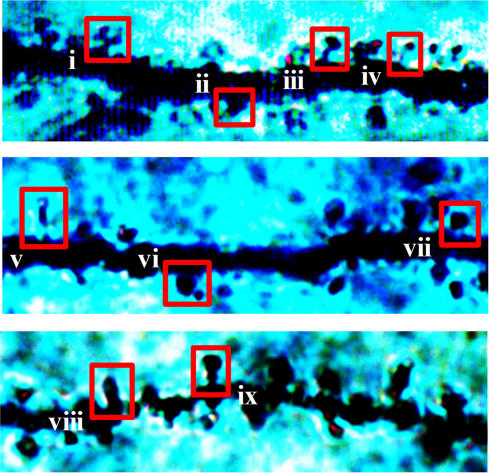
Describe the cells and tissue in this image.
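Along the edges of each band short dark protrusions stand out: these are dendritic spines. Some of the spines have a narrow stalk ending in a rounded head, some are short and broad with no clear neck, and some are slender and elongated. Red boxes pick out several individual spines along the shafts.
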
